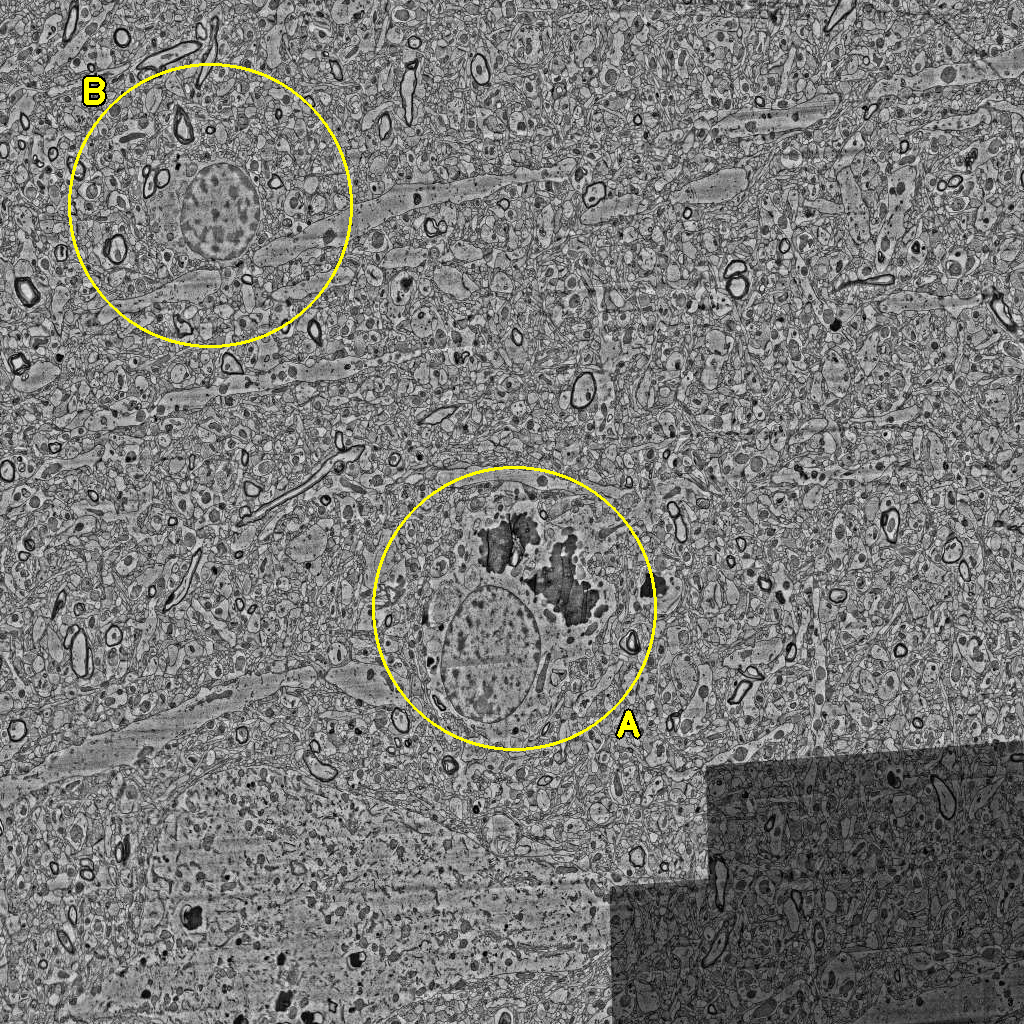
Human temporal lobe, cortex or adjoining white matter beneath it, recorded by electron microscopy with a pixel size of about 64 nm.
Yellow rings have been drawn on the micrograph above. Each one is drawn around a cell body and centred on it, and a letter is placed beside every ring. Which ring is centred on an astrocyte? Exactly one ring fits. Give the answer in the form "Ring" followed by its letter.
Ring A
